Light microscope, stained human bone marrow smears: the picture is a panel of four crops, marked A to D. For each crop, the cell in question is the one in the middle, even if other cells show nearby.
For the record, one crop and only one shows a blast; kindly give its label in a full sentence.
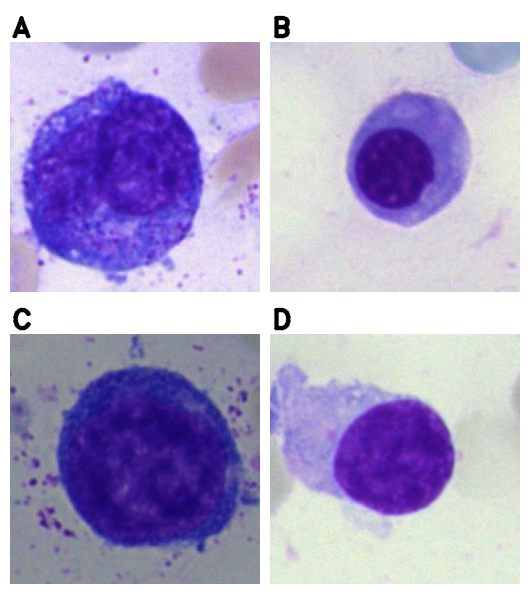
The crop marked C is the one in which a blast is shown.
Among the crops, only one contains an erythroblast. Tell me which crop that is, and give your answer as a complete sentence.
The correct choice is crop B, the one showing an erythroblast.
